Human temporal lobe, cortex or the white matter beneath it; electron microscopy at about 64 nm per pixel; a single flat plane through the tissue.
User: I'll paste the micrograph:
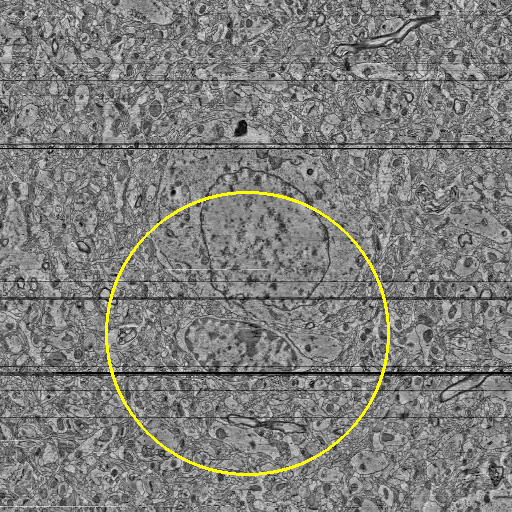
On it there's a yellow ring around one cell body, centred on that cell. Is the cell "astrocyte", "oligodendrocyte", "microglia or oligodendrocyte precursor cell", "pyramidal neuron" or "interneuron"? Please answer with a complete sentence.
The cell ringed in yellow is a microglial cell or oligodendrocyte precursor cell.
